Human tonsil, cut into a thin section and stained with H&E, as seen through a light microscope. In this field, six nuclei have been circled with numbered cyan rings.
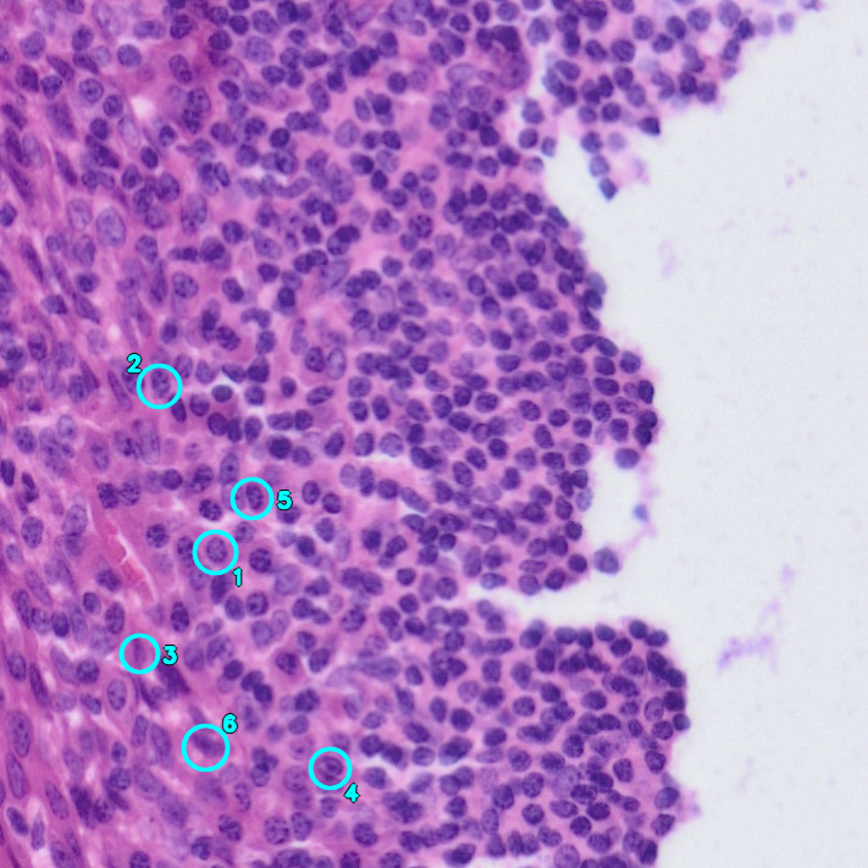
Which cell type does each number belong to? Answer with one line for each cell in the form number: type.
1: plasma cell
2: plasma cell
3: squamous epithelial cell
4: plasma cell
5: plasma cell
6: squamous epithelial cell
